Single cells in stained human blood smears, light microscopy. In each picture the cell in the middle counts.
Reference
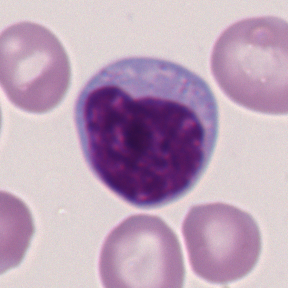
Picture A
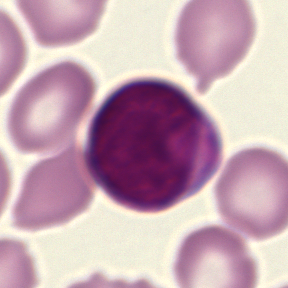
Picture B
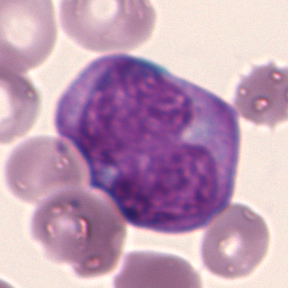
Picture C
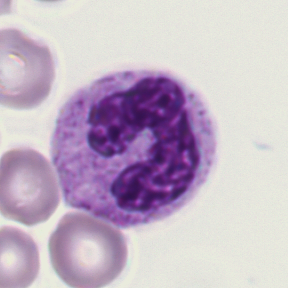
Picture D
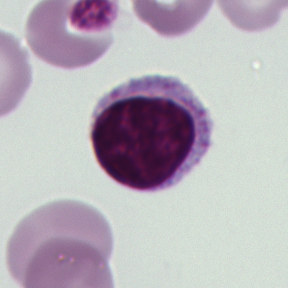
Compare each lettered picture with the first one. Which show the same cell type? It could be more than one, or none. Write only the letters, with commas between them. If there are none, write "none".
D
